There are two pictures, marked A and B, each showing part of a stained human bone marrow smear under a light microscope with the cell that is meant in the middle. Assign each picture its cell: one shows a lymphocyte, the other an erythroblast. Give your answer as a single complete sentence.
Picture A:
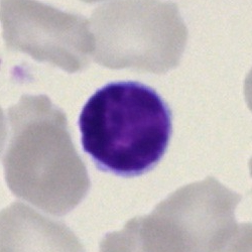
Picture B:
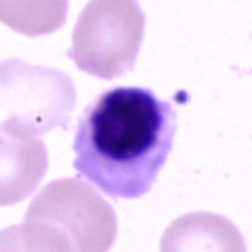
In picture A the cell is a lymphocyte; in picture B, an erythroblast.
